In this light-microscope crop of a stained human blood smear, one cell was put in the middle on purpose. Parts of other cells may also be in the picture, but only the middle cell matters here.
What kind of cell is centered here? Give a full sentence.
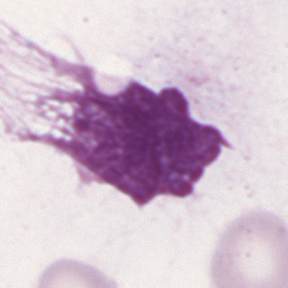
Classified as a smudge cell is the cell in the middle of this crop.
